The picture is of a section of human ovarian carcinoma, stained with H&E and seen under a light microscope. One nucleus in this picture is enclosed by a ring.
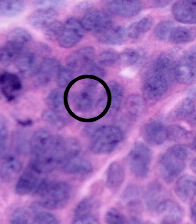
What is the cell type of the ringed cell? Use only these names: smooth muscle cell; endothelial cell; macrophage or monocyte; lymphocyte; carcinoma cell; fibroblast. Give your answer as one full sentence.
As to its cell type, the ringed cell is a carcinoma cell.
